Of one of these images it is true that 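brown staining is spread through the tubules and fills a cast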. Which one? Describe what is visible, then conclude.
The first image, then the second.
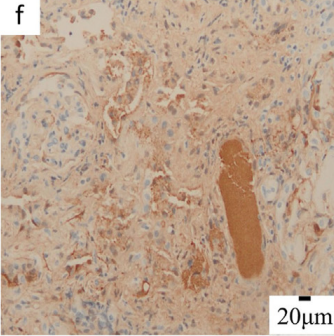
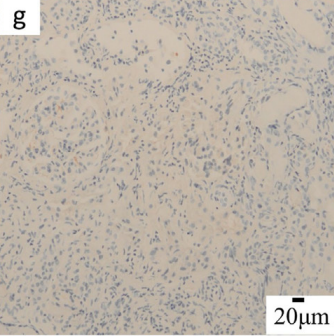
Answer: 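Second image: tissue shows only blue nuclei on a pale background without brown. That points to this answer: the first image.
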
